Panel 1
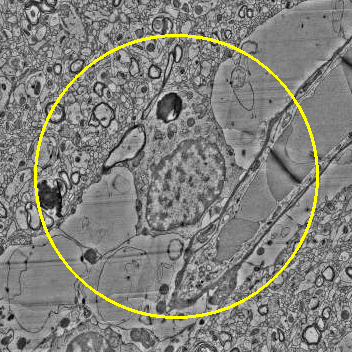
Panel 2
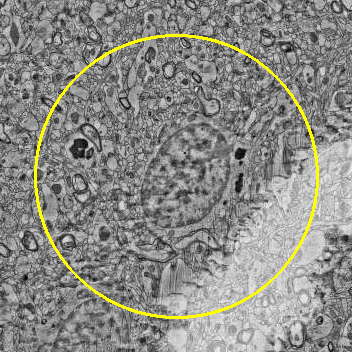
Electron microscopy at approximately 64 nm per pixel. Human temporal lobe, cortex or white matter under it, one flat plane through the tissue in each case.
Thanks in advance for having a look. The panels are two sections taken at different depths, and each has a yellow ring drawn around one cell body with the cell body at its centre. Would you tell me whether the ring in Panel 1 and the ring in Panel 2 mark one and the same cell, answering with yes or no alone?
yes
